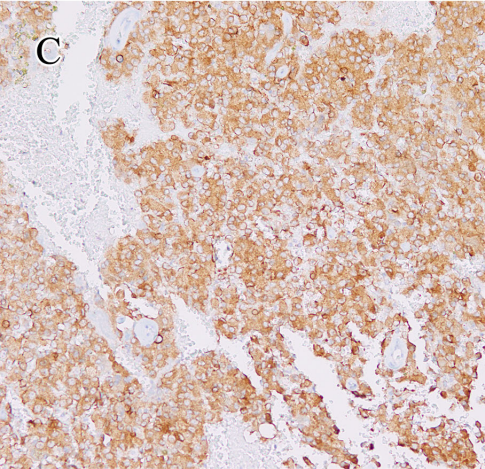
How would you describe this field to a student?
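Nearly every tumour cell shows strong brown staining of its cytoplasm, which outlines each cell, while the round nuclei sit centrally. The cells lie in loosely cohesive sheets and clusters, with pale, cell-poor spaces and small vessels in between.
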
